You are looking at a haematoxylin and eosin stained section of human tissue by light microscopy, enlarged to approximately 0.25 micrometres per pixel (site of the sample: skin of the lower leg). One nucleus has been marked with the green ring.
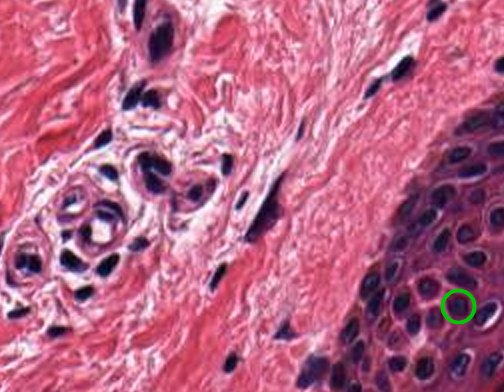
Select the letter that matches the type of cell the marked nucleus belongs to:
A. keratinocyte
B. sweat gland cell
A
